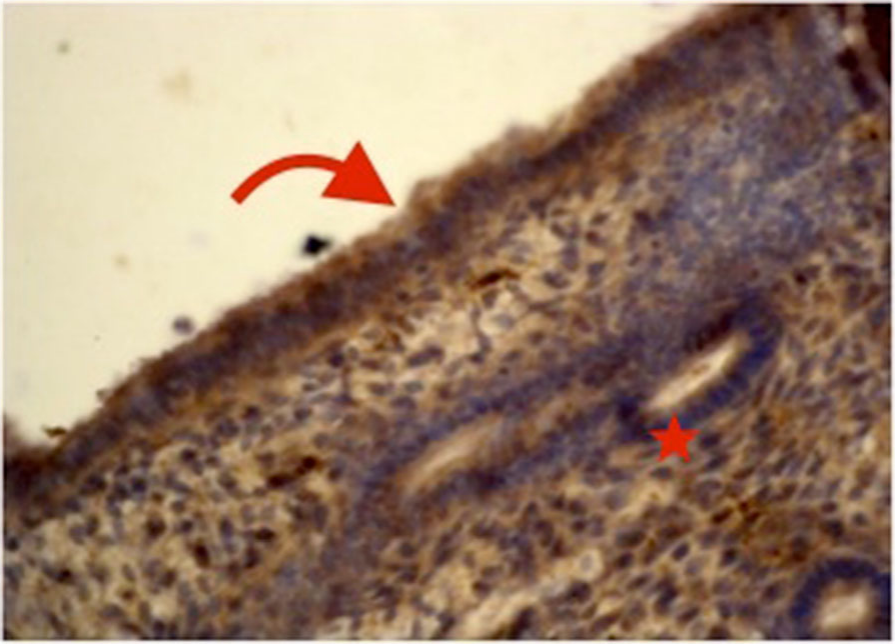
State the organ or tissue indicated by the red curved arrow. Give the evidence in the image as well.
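The arrow points to the cell layer lining the free surface that borders the empty space. This surface lining is a continuous row of tall cells with crowded nuclei. The surface layer is stained deep brown. On this evidence: Luminal Epithelium.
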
